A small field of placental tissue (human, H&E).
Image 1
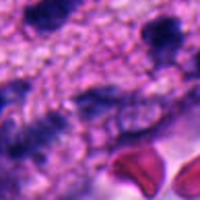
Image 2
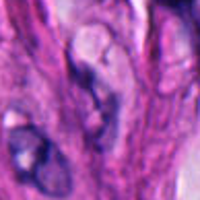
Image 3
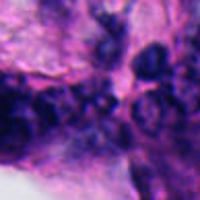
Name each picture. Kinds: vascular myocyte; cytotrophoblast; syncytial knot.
1: vascular myocyte
2: cytotrophoblast
3: syncytial knot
